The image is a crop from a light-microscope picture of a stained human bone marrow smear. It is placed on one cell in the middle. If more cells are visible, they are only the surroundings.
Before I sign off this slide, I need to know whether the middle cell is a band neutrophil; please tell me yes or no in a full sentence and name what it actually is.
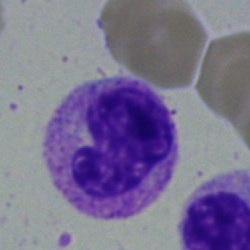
Yes, the middle cell here is a band neutrophil.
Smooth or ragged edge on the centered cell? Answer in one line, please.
The membrane contour is even and smooth, with nothing projecting from it.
